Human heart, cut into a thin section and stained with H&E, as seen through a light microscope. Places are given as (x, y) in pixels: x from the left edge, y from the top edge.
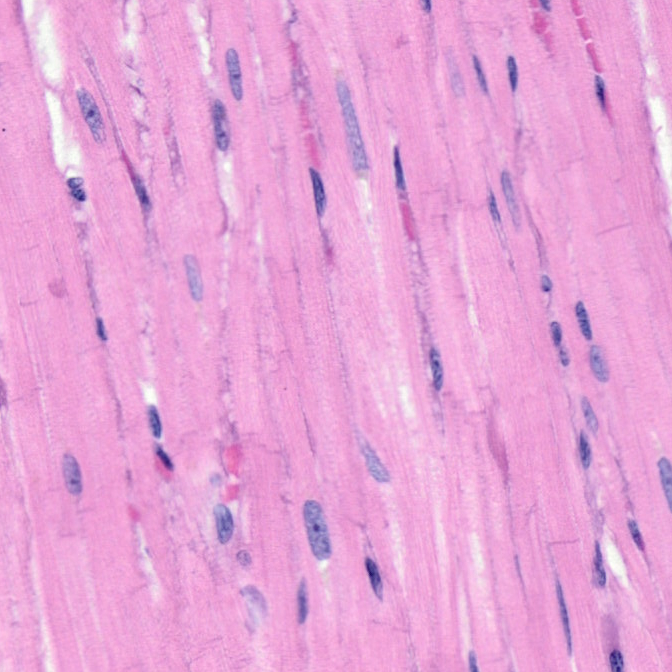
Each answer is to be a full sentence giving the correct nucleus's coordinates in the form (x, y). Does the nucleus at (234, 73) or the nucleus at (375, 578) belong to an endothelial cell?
The nucleus of an endothelial cell is the one found at (375, 578), not the other.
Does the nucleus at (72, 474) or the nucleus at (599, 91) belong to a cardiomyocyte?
The nucleus at position (72, 474) belongs to a cardiomyocyte.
